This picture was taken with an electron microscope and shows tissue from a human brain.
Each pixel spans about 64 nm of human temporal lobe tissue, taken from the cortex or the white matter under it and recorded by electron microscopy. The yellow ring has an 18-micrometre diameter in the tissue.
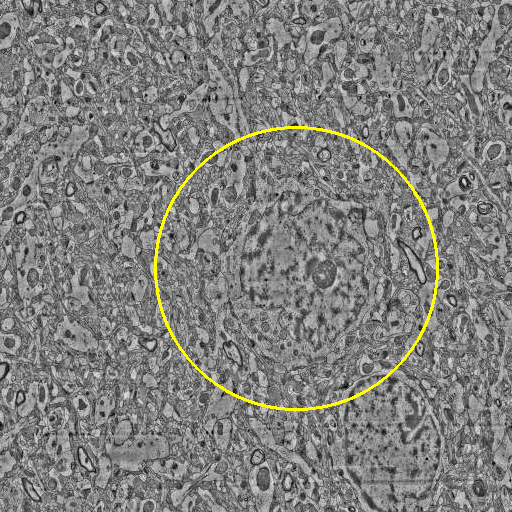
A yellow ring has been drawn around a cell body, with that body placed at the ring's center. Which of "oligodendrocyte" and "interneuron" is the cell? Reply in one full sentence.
In this picture, an interneuron is the cell at the center of the yellow ring.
